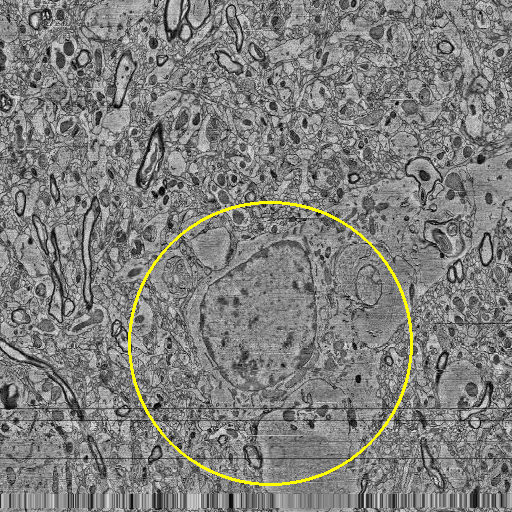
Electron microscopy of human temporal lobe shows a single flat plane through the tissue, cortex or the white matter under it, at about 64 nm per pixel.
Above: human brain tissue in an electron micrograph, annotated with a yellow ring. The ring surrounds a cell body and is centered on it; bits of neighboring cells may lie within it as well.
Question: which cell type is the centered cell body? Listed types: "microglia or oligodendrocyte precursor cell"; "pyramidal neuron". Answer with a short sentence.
The centered cell body is a microglial cell or oligodendrocyte precursor cell.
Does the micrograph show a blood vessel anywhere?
Yes, there is one.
